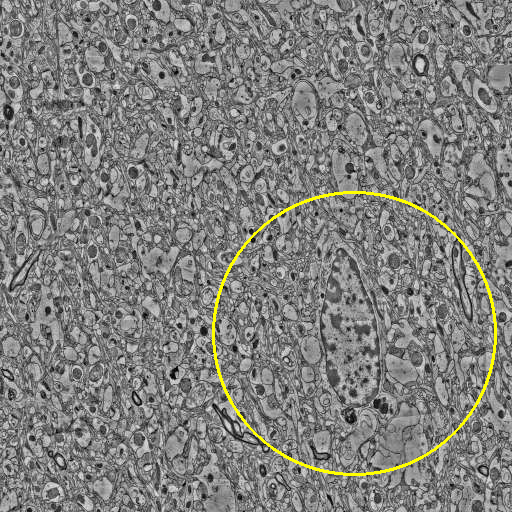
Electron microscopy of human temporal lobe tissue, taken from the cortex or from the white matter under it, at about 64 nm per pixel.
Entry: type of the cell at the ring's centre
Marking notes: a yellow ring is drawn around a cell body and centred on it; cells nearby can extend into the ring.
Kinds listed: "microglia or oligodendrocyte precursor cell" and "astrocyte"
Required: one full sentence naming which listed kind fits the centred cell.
My entry names a microglial cell or oligodendrocyte precursor cell as the cell whose body the yellow ring centres on.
